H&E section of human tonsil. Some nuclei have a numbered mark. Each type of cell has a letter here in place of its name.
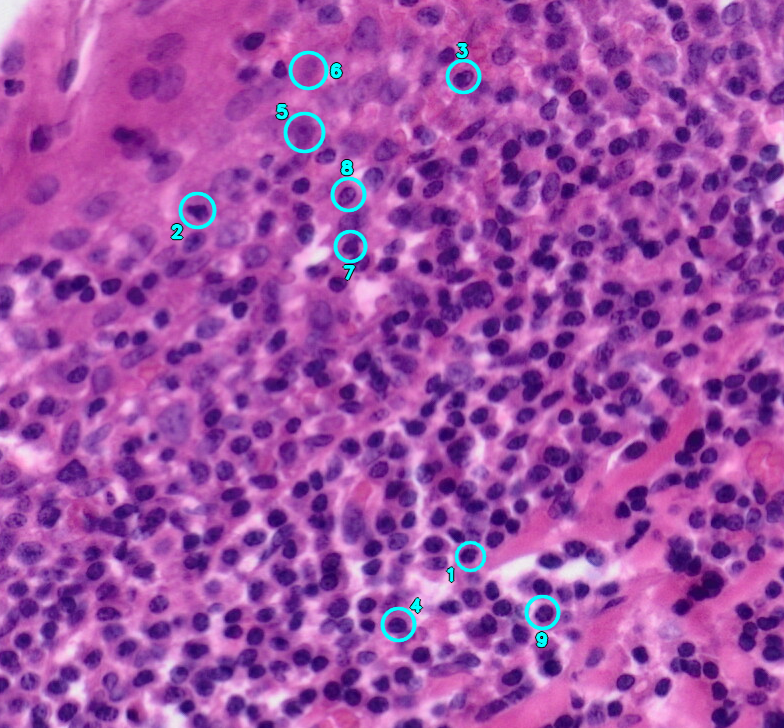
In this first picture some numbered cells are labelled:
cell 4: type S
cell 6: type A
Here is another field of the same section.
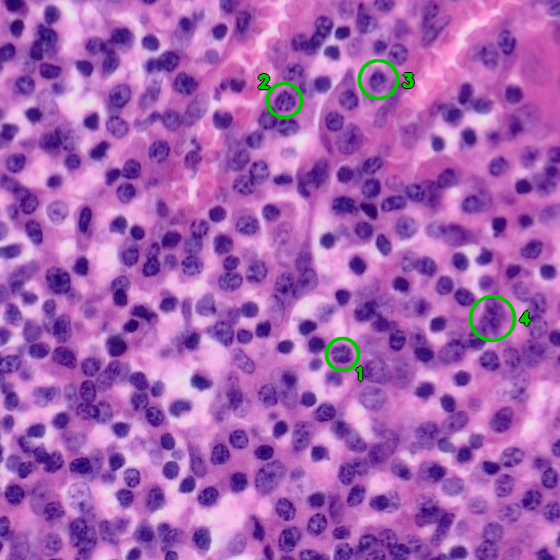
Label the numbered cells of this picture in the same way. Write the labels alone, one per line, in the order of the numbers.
type S
type S
type S
type A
